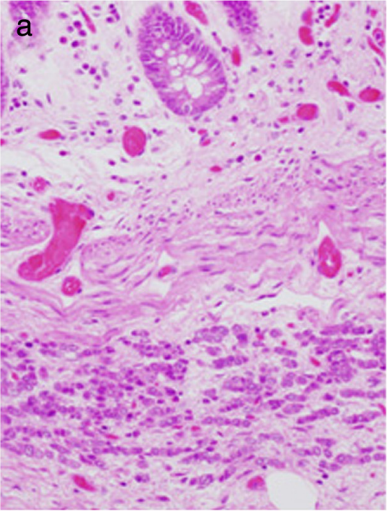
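Colonic mucosa and submucosa with an infiltrating tumor below. At the top lies a normal crypt lined by columnar epithelium with many pale goblet cells. Beneath it is loose pink stroma containing blood vessels filled with bright red blood. The lower half is occupied by closely packed small tumor cells with dark purple nuclei, arranged in cords and strands that run through the stroma without forming glands.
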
